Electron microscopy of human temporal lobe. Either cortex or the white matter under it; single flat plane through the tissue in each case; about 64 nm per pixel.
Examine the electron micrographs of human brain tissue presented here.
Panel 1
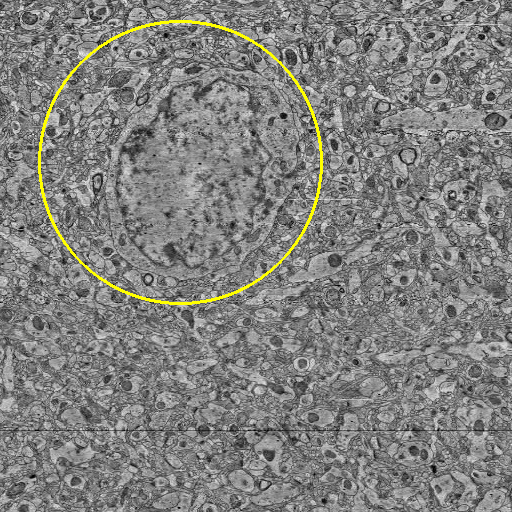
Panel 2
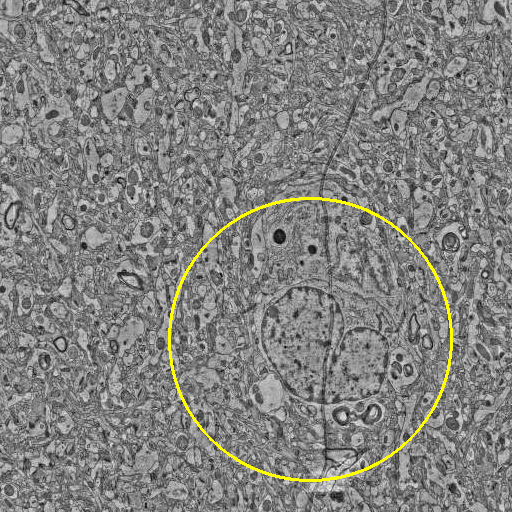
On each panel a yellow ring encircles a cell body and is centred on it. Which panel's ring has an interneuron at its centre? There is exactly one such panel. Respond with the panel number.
1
